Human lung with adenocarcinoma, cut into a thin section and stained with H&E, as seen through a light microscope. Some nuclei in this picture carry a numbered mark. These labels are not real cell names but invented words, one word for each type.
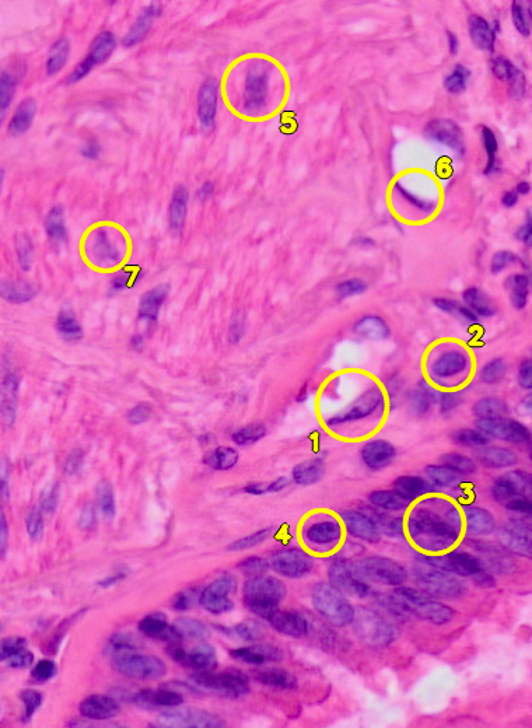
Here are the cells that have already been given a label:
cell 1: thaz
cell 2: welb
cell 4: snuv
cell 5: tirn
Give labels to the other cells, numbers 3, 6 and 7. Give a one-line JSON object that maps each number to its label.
{"3": "snuv", "6": "thaz", "7": "tirn"}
